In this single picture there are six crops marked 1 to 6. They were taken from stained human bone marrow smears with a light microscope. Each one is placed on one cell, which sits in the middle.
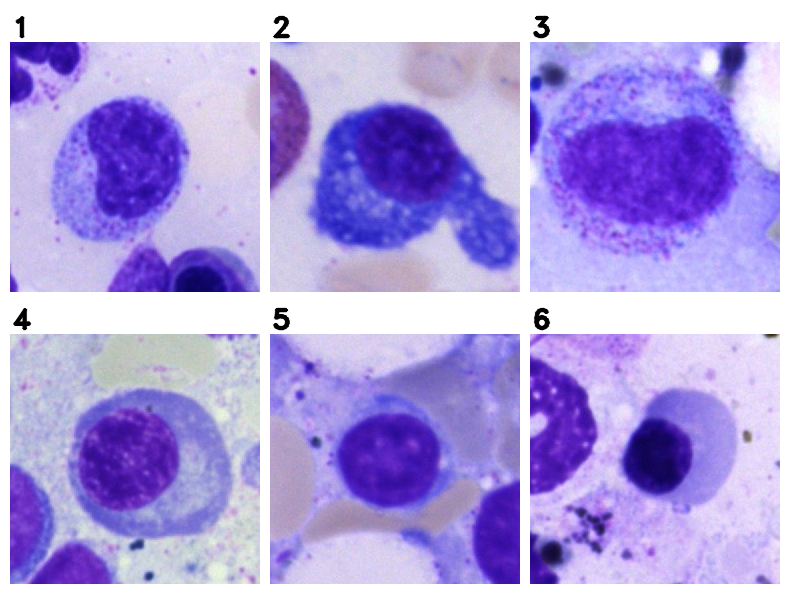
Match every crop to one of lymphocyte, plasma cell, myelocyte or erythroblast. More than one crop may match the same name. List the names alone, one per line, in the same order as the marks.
myelocyte
plasma cell
myelocyte
plasma cell
lymphocyte
erythroblast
